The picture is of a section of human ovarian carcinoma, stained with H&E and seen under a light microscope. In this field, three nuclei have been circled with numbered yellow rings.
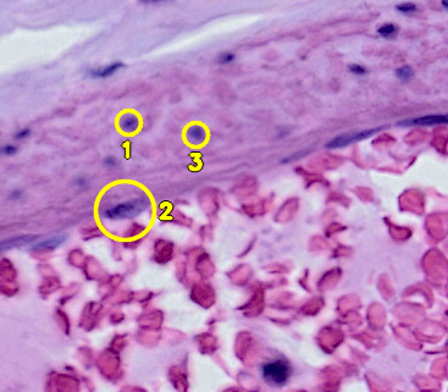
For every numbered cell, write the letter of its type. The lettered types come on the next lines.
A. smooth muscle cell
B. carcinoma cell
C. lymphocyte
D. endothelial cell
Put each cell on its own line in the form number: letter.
1: A
2: D
3: A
